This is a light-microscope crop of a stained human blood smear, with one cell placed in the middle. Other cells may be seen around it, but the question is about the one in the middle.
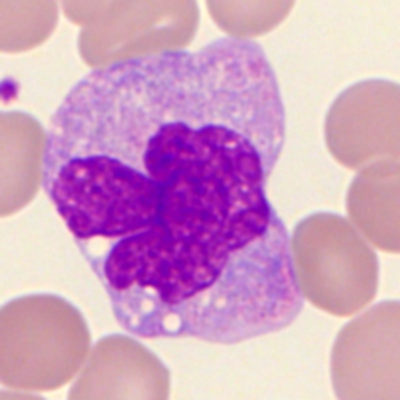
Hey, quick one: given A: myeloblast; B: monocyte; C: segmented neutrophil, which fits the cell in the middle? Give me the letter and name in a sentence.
The cell occupying the centre is a monocyte; option B is thus the correct choice.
